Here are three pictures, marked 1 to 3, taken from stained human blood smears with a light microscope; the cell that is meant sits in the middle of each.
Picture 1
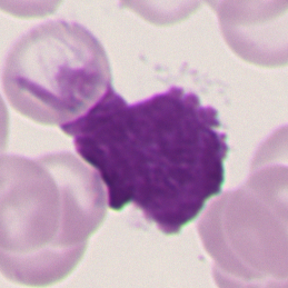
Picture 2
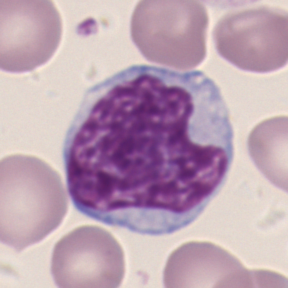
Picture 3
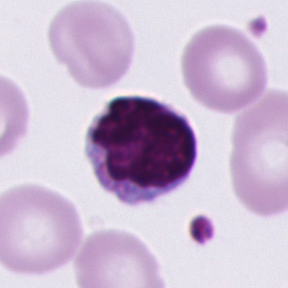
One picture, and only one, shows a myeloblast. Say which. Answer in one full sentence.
The cell in picture 2 is the myeloblast.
